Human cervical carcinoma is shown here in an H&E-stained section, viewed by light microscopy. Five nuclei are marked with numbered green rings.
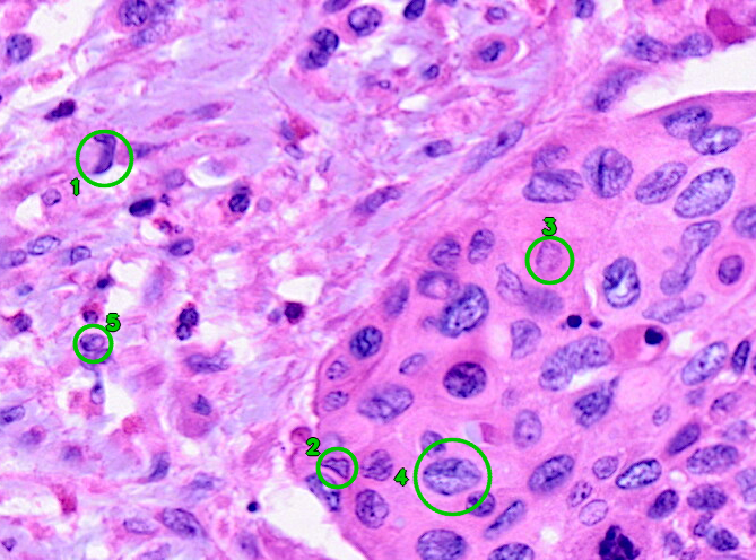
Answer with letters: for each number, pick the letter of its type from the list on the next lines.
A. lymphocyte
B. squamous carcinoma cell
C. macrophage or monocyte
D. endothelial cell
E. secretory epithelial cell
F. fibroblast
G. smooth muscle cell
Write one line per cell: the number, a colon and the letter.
1: C
2: B
3: B
4: B
5: C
